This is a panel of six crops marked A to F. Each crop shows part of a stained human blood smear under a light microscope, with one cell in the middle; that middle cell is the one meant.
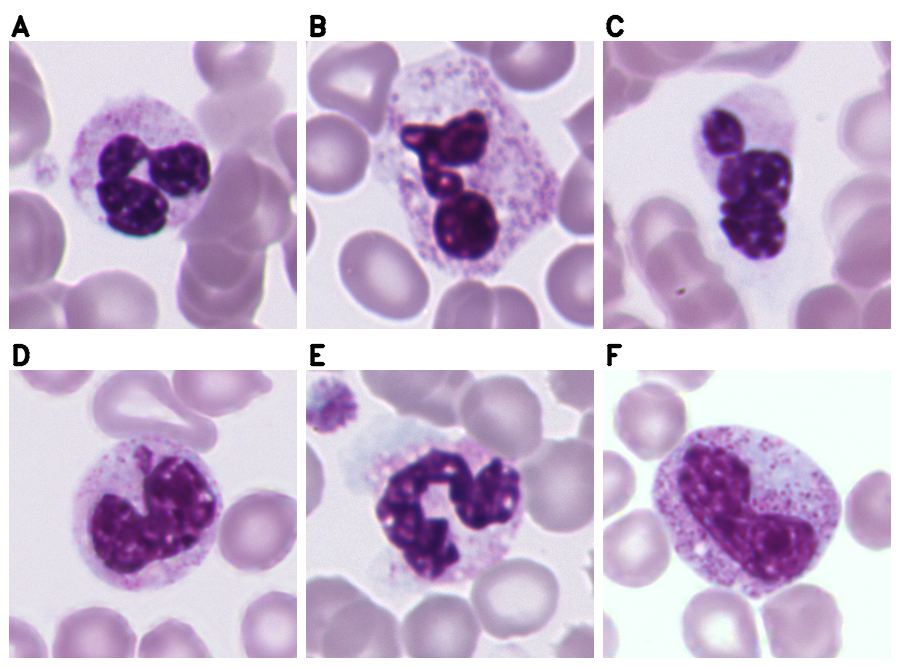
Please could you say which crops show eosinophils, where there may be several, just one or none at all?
none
